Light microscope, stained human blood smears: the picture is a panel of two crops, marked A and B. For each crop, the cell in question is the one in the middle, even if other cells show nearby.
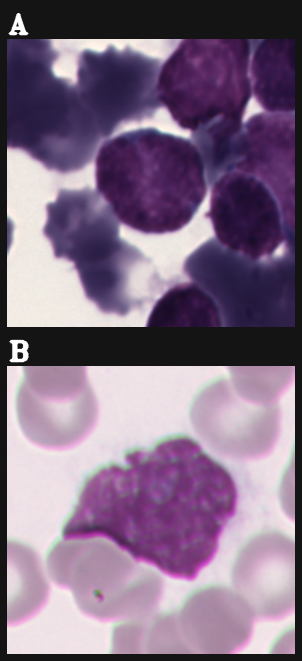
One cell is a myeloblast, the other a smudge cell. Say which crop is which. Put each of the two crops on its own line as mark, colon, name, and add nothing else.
A: myeloblast
B: smudge cell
